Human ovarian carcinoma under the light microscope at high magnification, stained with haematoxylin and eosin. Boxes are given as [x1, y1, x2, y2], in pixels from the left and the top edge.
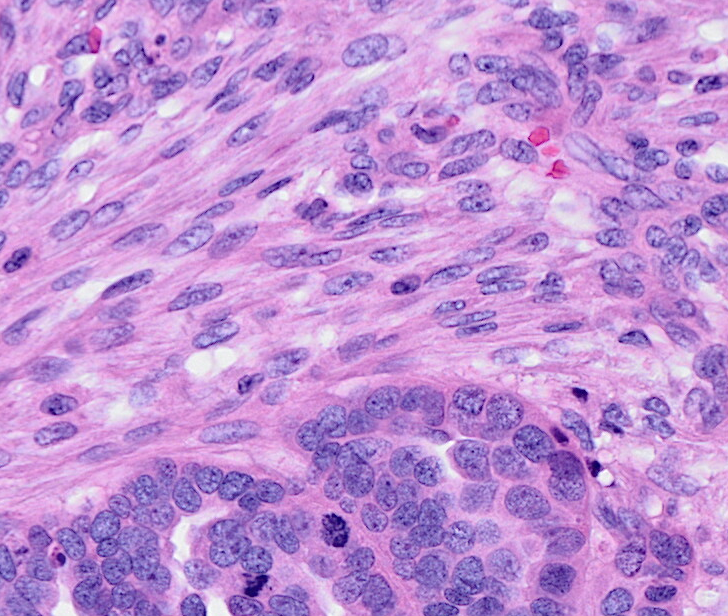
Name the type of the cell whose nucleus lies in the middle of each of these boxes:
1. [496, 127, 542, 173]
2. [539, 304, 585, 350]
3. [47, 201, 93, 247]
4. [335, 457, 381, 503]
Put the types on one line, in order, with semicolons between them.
endothelial cell; fibroblast; fibroblast; carcinoma cell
